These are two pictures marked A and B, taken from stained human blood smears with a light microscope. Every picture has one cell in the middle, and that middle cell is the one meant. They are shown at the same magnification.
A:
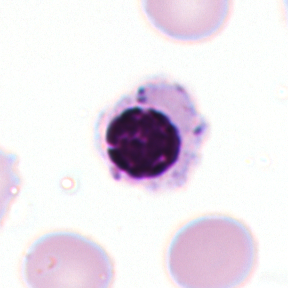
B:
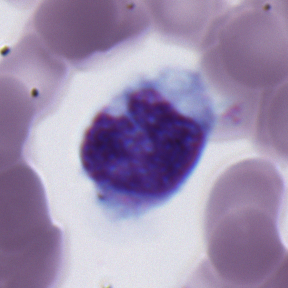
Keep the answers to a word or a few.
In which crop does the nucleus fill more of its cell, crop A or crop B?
B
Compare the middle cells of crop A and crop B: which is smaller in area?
A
